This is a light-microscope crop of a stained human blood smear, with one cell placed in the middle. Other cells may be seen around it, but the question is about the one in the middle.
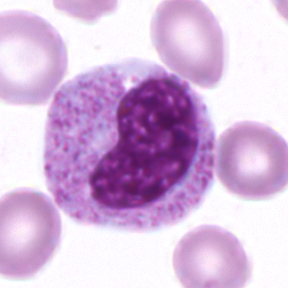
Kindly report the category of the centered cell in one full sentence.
As for the central cell, it is a metamyelocyte.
